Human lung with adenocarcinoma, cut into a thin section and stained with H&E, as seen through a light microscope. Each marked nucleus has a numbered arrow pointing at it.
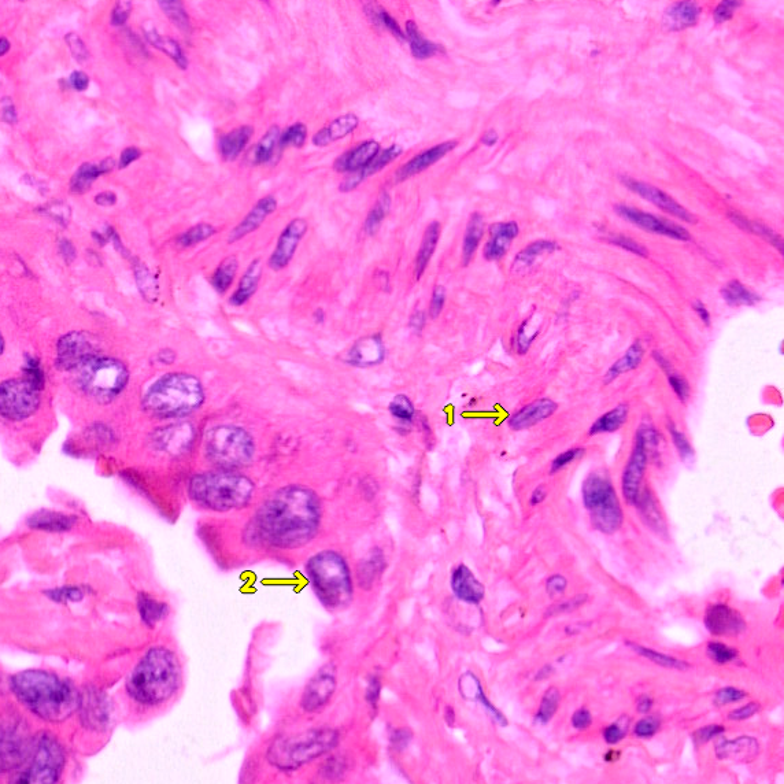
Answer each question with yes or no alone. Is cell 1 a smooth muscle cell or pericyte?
yes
